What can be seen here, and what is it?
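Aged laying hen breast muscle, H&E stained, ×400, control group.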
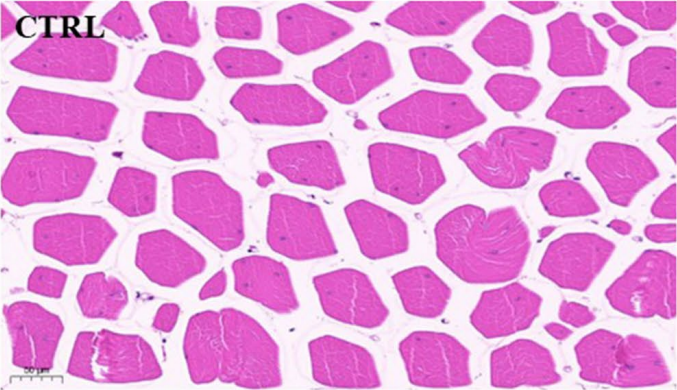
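The fibers are polygonal to rounded, with angular corners, and their cytoplasm stains evenly deep pink, with a few pale cracks and wavy lines within some fibers. Neighbouring fibers are separated by fairly wide clear spaces containing thin, pale pink strands of connective tissue, in which occasional small cells with dark nuclei can be seen. The fibers vary moderately in size and are packed side by side across the field.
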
